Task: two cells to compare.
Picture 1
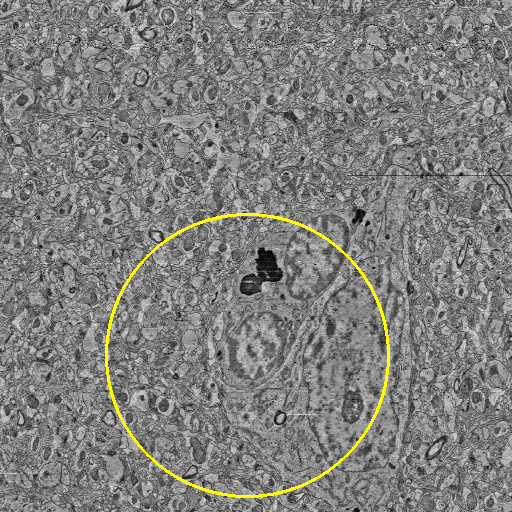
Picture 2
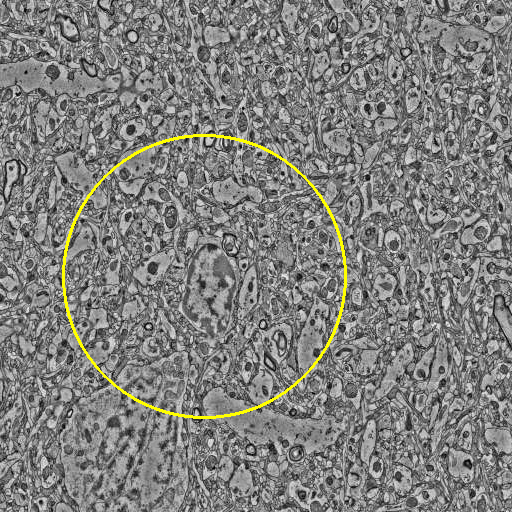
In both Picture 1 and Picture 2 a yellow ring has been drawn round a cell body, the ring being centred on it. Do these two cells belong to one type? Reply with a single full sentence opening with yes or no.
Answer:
No, the two cells at the ring centres in Picture 1 and Picture 2 are of two types.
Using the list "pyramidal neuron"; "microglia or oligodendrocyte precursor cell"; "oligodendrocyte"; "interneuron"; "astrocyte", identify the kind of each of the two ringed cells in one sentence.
The first is an oligodendrocyte and the second is a microglial cell or oligodendrocyte precursor cell.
